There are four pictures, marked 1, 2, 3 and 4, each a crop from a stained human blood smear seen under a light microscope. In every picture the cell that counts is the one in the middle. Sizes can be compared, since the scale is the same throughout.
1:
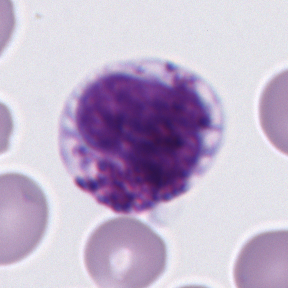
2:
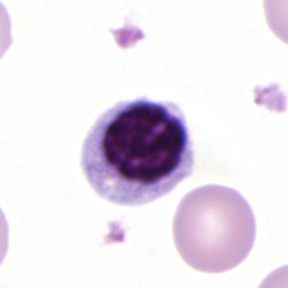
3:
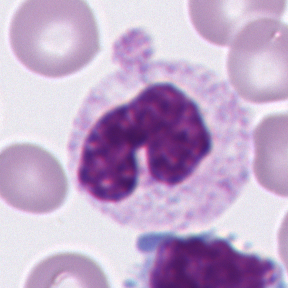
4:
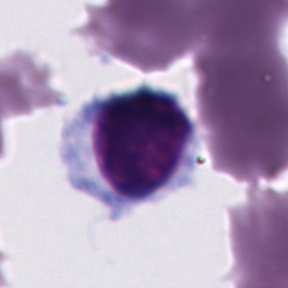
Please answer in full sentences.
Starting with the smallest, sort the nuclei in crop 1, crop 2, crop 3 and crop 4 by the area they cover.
From the smallest up, the order is 2, 4, 3, 1.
